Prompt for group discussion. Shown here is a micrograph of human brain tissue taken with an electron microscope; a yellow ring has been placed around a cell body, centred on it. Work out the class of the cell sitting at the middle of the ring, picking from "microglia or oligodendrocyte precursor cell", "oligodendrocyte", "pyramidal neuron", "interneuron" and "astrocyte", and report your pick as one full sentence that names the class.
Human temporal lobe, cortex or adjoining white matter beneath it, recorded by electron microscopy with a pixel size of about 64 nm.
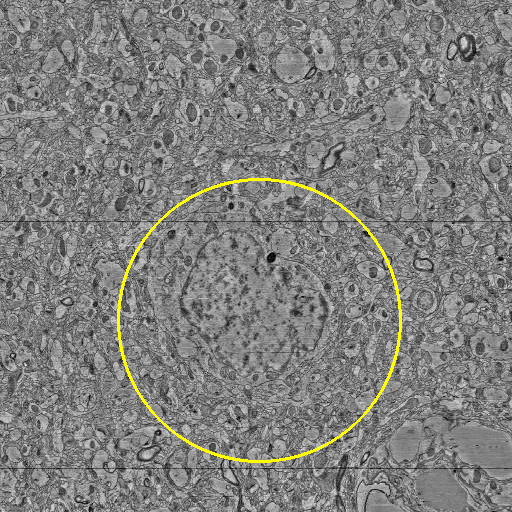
The cell sitting at the middle of the yellow ring is an interneuron.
